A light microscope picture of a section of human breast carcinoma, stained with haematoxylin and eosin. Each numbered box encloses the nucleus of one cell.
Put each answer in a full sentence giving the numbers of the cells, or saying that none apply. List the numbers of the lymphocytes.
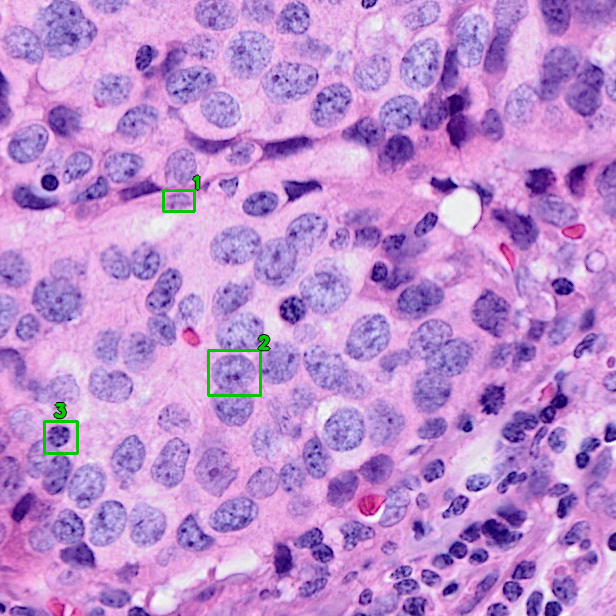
The numbered cells include exactly one that is a lymphocyte, which is cell 3.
